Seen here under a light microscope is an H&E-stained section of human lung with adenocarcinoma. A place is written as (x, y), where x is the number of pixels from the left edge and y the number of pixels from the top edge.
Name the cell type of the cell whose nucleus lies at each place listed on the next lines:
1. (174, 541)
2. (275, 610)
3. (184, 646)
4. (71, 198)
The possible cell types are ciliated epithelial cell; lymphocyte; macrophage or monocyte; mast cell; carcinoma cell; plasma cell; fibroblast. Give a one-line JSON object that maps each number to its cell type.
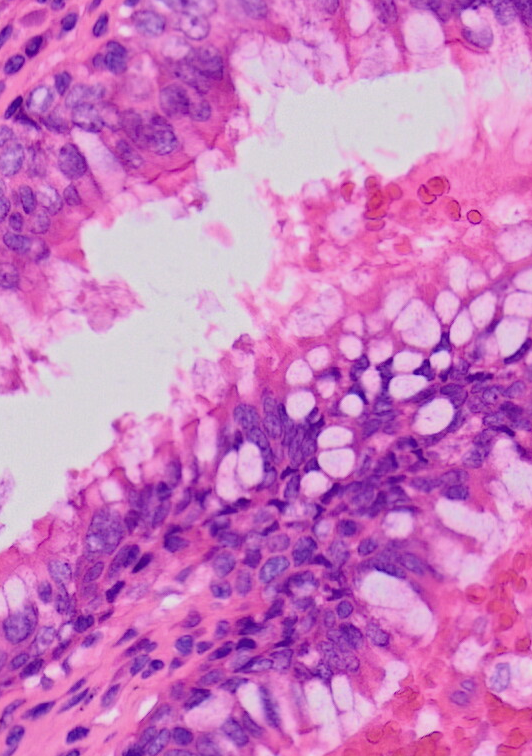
{"1": "ciliated epithelial cell", "2": "ciliated epithelial cell", "3": "lymphocyte", "4": "ciliated epithelial cell"}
